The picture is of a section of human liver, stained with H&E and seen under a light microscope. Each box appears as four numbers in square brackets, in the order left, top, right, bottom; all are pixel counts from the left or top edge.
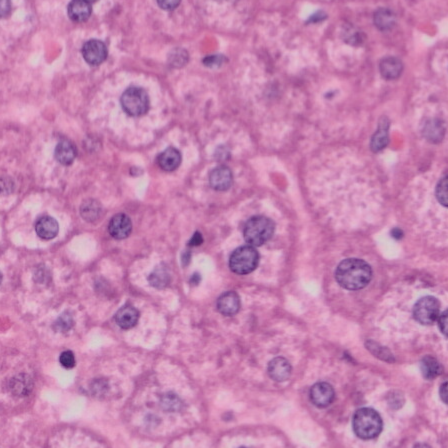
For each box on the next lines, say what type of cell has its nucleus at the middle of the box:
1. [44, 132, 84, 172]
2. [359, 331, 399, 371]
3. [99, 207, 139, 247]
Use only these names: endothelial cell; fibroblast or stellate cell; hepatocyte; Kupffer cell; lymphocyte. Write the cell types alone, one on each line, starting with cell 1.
hepatocyte
Kupffer cell
hepatocyte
